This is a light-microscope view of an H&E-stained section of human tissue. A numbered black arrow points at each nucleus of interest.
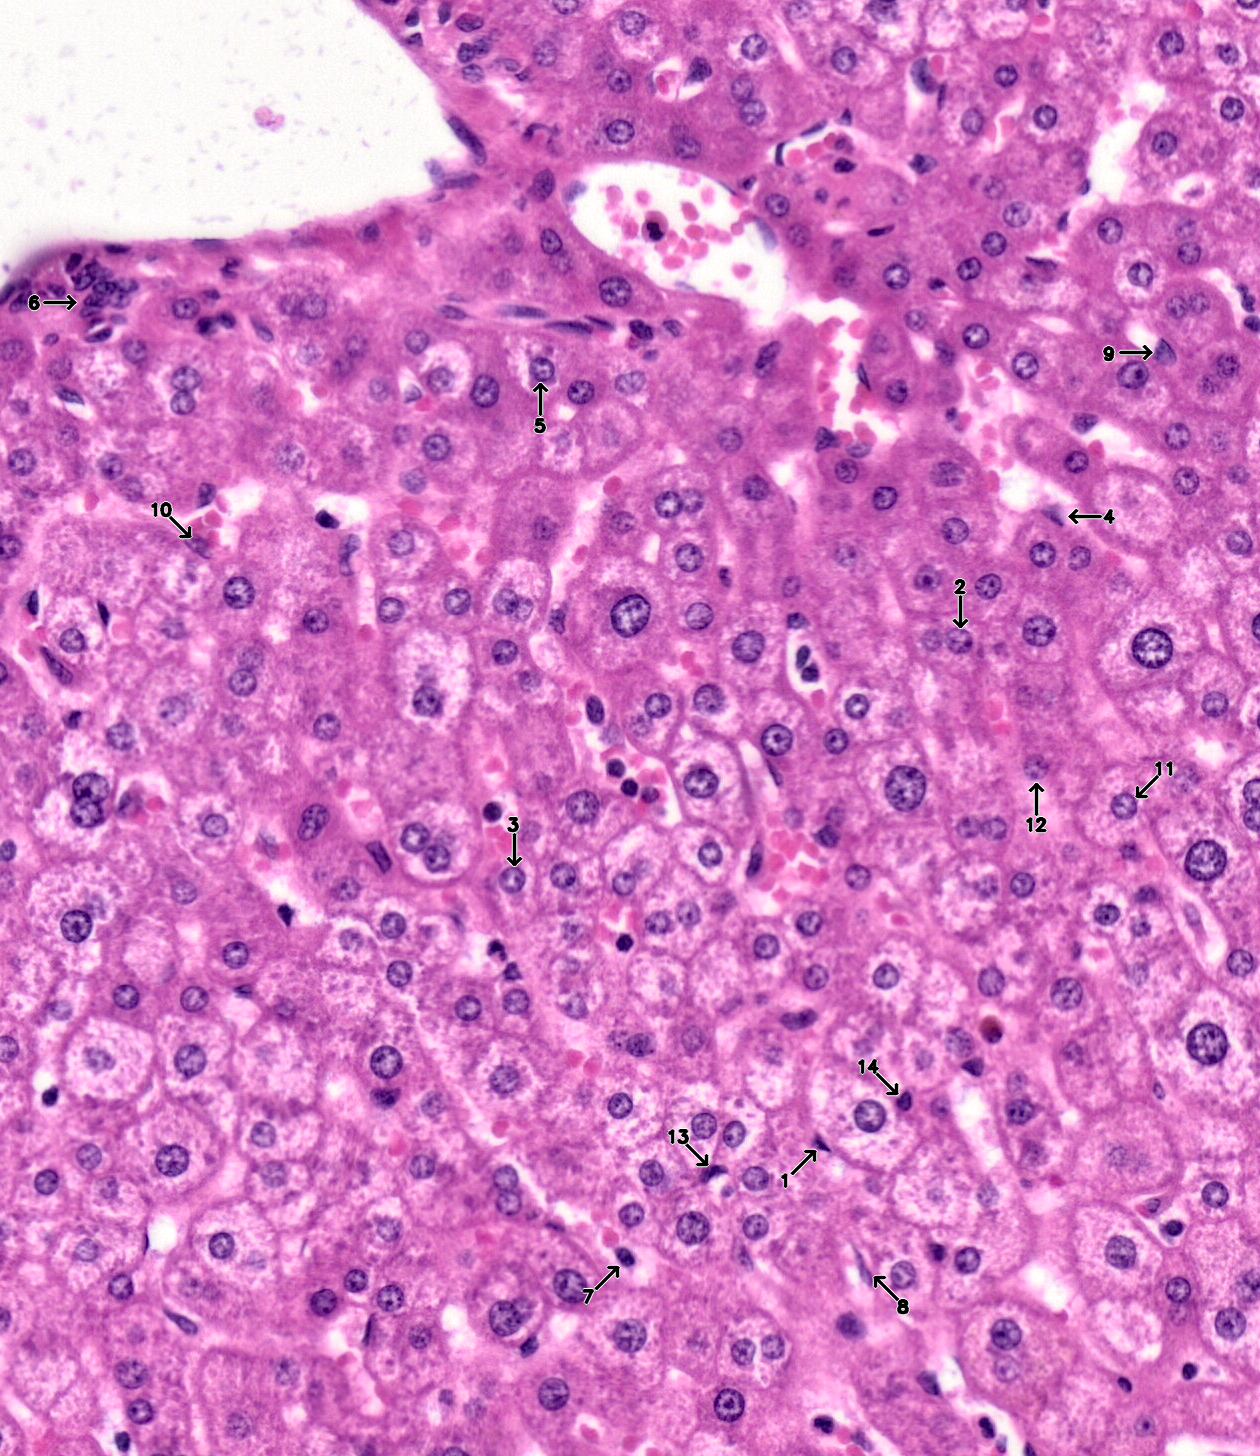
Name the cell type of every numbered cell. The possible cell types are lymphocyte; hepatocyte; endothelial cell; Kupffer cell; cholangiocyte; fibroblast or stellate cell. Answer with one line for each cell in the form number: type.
1: endothelial cell
2: hepatocyte
3: hepatocyte
4: endothelial cell
5: hepatocyte
6: cholangiocyte
7: lymphocyte
8: Kupffer cell
9: endothelial cell
10: Kupffer cell
11: hepatocyte
12: hepatocyte
13: endothelial cell
14: fibroblast or stellate cell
